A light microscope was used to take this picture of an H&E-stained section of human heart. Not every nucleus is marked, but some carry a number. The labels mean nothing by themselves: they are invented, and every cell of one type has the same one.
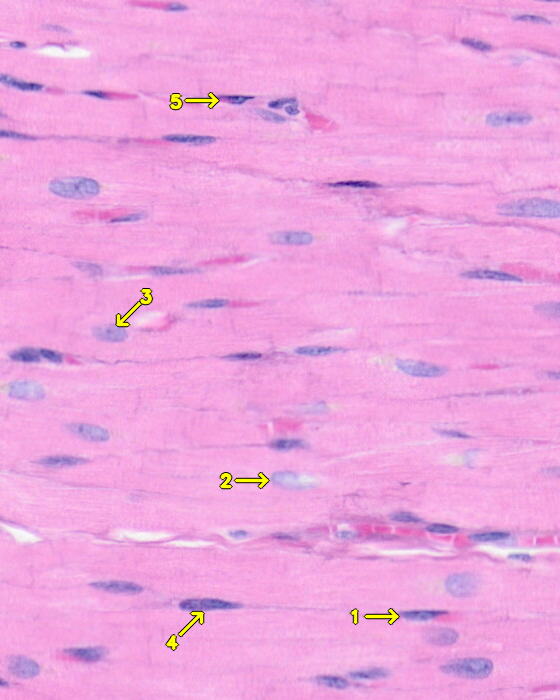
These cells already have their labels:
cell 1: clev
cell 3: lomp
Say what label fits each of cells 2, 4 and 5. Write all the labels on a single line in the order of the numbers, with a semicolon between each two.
lomp; clev; clev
